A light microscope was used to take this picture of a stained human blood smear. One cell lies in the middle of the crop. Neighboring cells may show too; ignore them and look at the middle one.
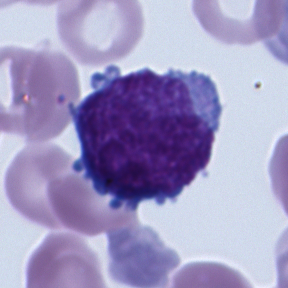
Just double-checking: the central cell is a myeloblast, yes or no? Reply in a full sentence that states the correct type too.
Yes, the cell at the very centre of the crop is a myeloblast.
